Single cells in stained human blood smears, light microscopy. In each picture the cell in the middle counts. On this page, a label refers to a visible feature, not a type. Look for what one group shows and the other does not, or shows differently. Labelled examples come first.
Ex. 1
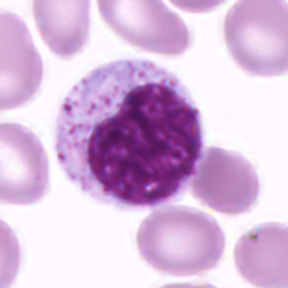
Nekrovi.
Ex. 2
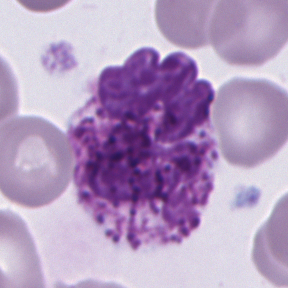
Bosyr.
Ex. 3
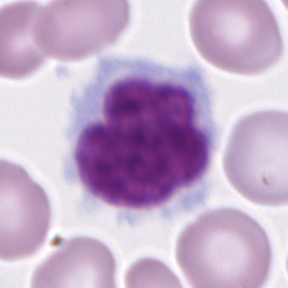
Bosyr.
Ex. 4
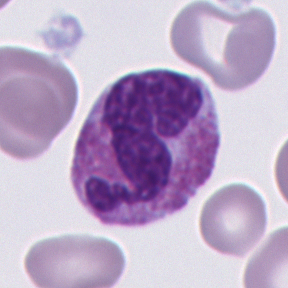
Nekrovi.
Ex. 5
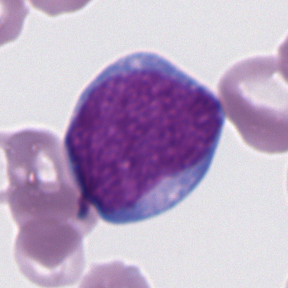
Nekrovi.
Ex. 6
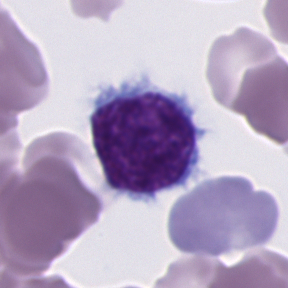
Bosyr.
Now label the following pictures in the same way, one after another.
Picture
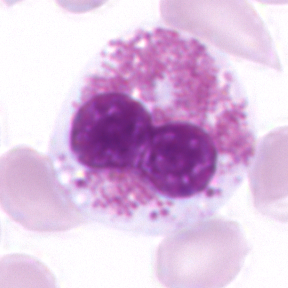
Nekrovi.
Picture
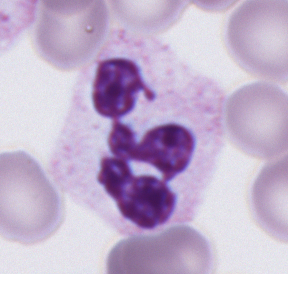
Nekrovi.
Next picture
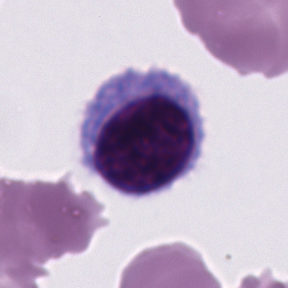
Bosyr.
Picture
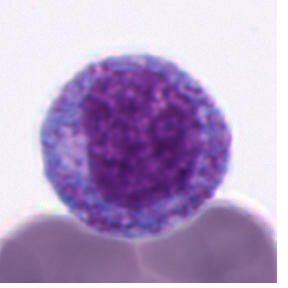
Nekrovi.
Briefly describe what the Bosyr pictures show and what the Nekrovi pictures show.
Seen in Bosyr: ragged outline or projections; seen in Nekrovi: smooth outline.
